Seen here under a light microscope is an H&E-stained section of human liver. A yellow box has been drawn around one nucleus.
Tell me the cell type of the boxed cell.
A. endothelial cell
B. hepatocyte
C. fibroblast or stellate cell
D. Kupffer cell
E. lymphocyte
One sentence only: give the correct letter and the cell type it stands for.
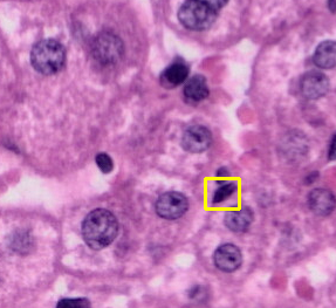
Under option C, the boxed cell is a fibroblast or stellate cell, which is the correct identification.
